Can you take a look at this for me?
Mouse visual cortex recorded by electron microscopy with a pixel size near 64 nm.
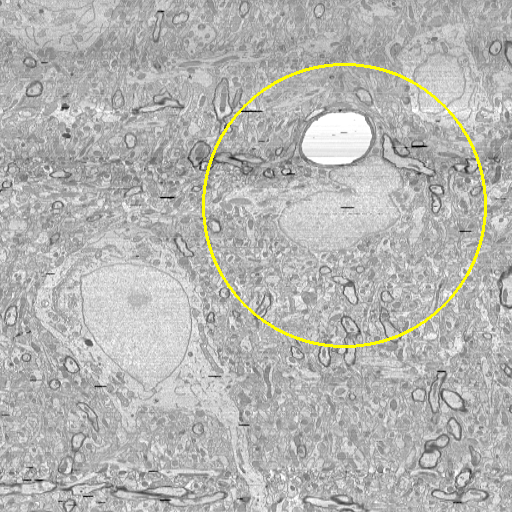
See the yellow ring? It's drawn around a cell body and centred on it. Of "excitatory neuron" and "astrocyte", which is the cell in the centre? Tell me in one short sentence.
The one in the centre is an astrocyte.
